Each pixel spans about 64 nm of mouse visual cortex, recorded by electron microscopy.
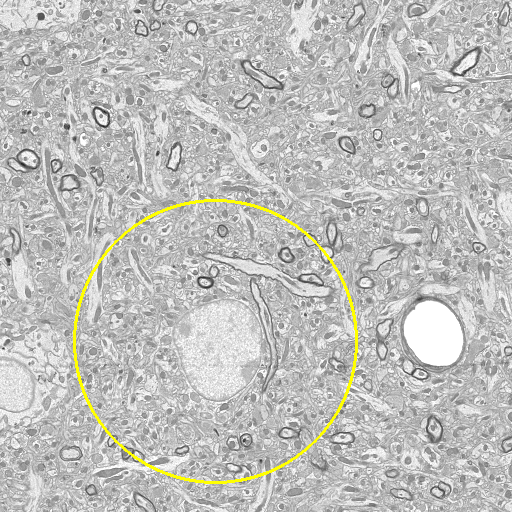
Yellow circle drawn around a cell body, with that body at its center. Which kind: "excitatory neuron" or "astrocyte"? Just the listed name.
astrocyte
